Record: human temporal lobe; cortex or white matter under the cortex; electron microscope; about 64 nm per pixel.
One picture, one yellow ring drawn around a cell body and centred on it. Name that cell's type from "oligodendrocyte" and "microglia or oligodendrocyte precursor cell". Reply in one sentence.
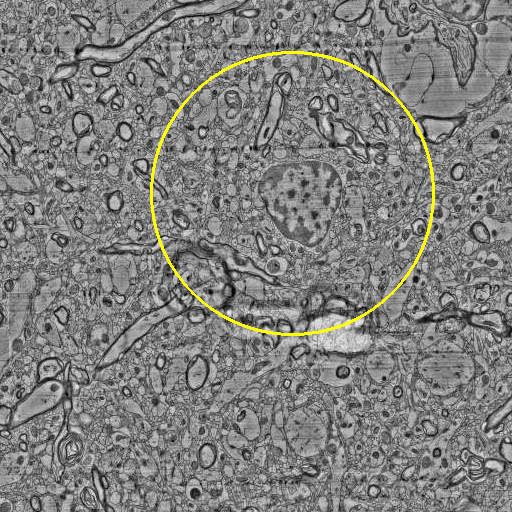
Centred in the ring is a microglial cell or oligodendrocyte precursor cell.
